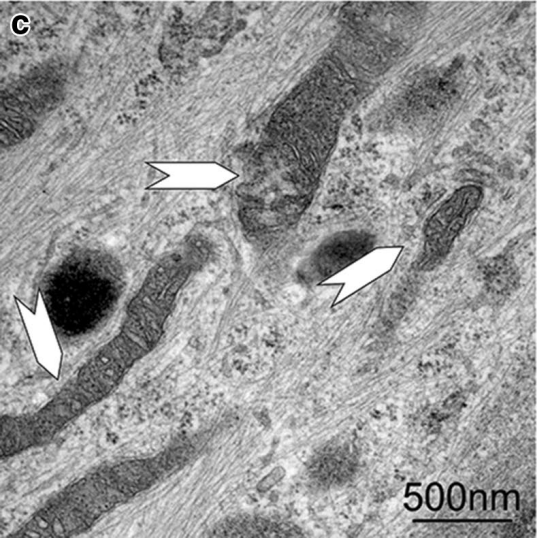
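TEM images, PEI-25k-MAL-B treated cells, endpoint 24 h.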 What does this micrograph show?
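Long bundles of fine filaments run diagonally across the field, with scattered ribosomes between them. Several elongated mitochondria with parallel cristae lie among the filaments, but some mitochondria look damaged: their inner membranes are blurred, fragmented or pale, and one lies beside a very dark, dense round body.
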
